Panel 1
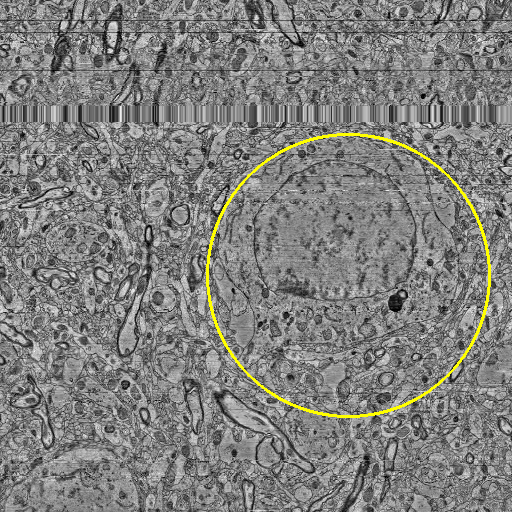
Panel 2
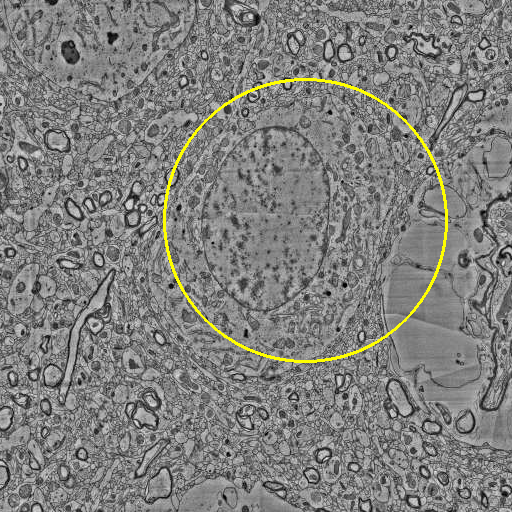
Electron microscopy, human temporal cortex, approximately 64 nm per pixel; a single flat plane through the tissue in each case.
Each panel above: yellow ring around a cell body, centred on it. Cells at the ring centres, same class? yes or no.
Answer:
no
